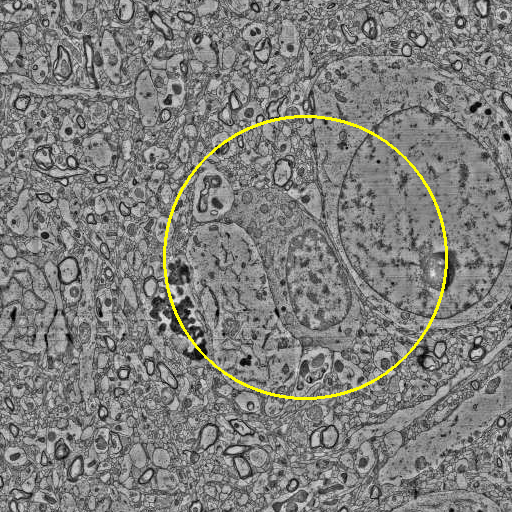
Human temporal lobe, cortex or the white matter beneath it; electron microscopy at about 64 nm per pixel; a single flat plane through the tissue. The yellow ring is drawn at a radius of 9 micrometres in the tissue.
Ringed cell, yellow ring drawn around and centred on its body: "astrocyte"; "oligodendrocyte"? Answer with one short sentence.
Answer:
This ringed cell is an oligodendrocyte.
